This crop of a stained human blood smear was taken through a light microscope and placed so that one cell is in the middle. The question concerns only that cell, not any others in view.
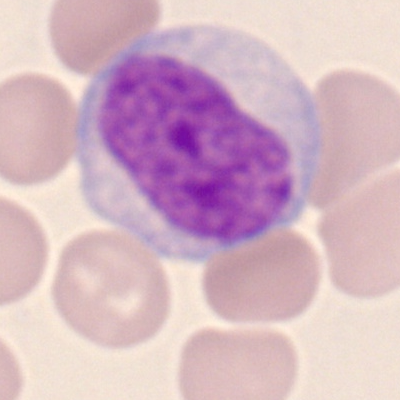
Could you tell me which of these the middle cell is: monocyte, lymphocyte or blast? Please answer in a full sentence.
What the crop centres on is a monocyte.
